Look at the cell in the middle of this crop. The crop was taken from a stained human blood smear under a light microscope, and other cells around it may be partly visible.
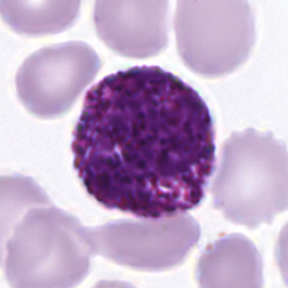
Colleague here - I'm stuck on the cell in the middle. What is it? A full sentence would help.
The central cell in this smear crop is a basophil.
